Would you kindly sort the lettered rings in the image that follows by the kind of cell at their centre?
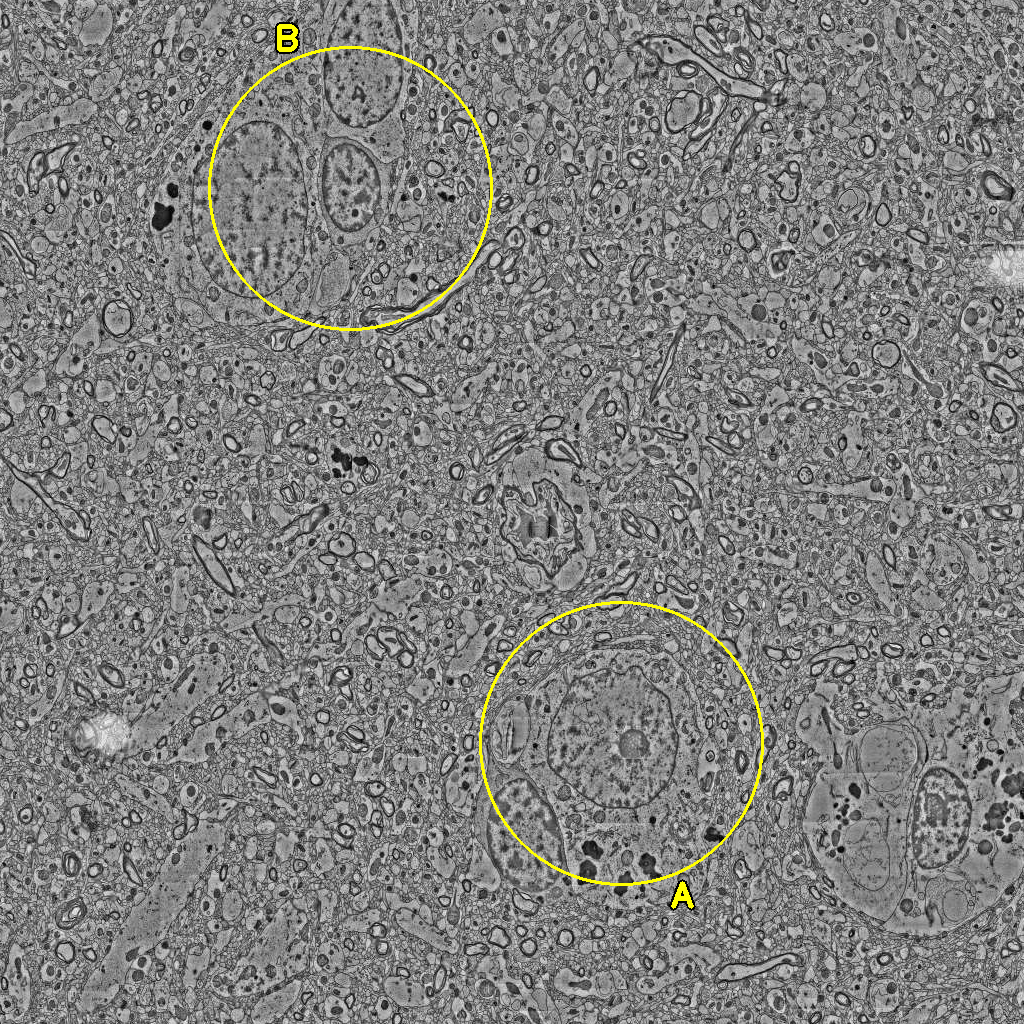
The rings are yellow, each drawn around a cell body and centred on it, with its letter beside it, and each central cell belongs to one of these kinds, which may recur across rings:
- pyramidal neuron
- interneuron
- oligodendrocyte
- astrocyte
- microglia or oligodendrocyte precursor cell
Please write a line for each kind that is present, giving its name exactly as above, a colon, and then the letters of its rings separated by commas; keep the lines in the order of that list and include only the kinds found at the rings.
pyramidal neuron: A
oligodendrocyte: B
